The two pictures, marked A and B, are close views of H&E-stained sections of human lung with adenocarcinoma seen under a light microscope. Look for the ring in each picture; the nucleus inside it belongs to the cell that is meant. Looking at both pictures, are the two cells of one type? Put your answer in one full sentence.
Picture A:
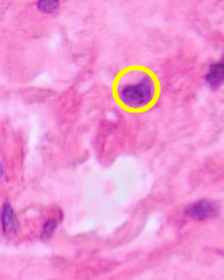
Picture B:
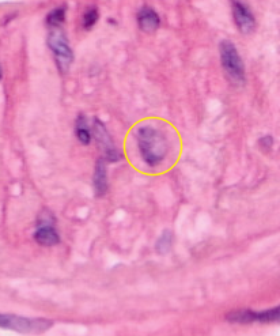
Yes, they are the same type: both are “smooth muscle cells or pericytes”.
